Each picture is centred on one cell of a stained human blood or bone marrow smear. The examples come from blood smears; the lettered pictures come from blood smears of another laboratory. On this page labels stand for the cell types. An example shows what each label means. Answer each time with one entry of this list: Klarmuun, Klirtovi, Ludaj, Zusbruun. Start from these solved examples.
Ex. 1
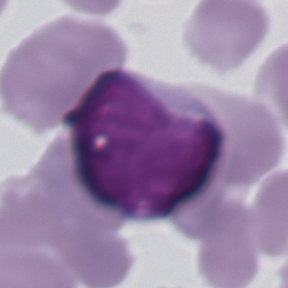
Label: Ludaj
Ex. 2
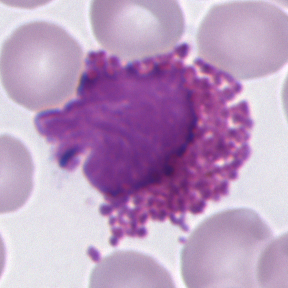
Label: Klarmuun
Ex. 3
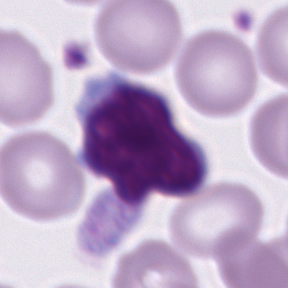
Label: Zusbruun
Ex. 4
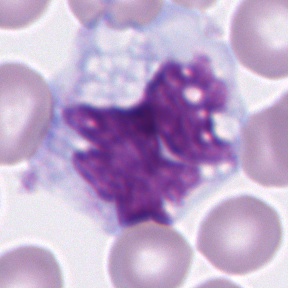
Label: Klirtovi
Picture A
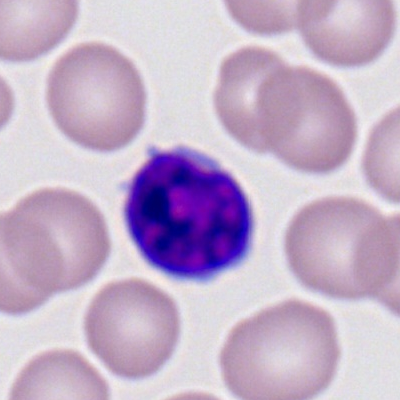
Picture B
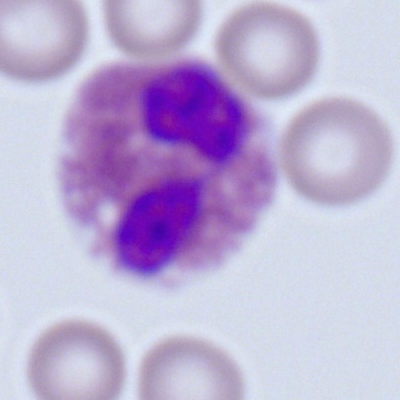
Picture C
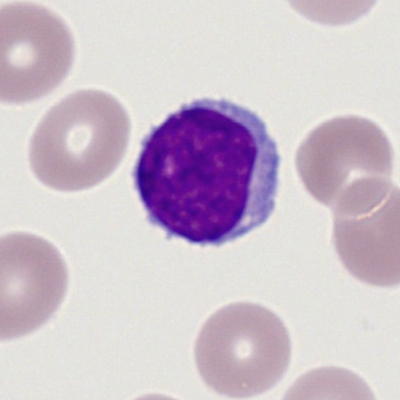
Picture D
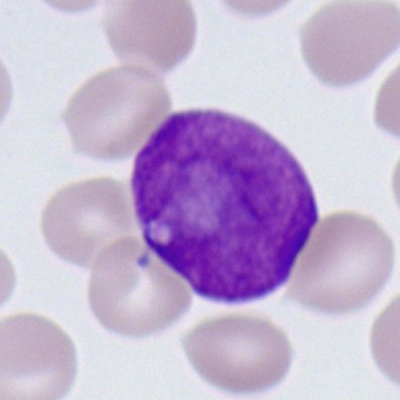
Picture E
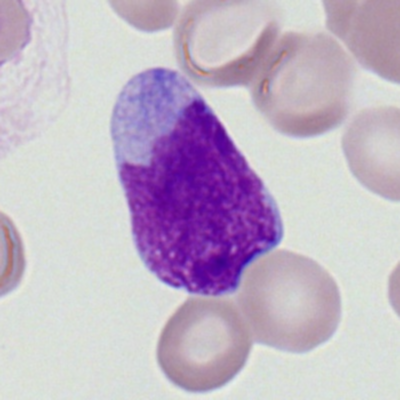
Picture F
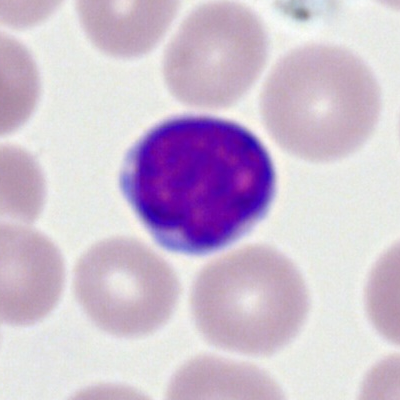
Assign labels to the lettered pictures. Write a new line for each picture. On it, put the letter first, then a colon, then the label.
A: Zusbruun
B: Klarmuun
C: Zusbruun
D: Ludaj
E: Ludaj
F: Zusbruun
